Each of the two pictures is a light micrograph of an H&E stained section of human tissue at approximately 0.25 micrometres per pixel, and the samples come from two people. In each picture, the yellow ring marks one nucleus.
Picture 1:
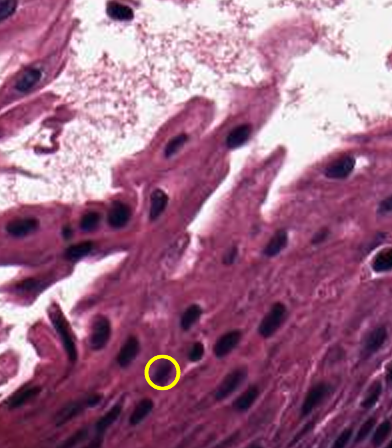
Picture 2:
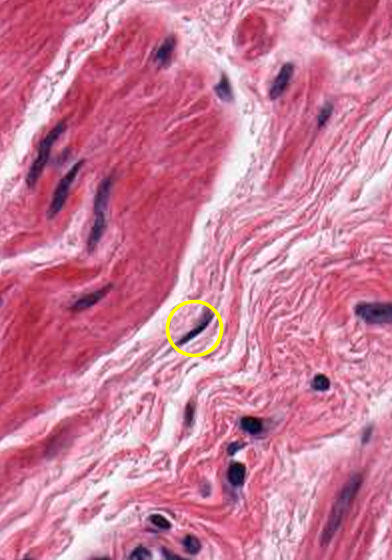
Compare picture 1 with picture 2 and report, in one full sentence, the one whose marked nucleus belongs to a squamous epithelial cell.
The nucleus of a squamous epithelial cell carries the mark in picture 1.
